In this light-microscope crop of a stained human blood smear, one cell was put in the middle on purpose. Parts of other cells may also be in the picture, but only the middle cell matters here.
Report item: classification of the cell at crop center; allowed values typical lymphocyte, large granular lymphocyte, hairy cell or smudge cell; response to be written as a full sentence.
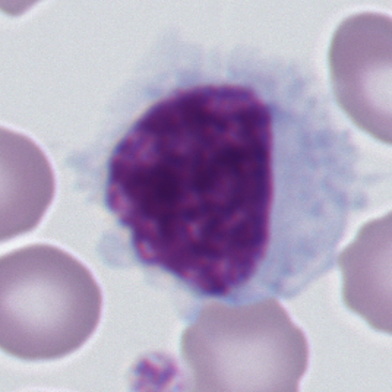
The central cell shown in this smear crop is a hairy cell.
